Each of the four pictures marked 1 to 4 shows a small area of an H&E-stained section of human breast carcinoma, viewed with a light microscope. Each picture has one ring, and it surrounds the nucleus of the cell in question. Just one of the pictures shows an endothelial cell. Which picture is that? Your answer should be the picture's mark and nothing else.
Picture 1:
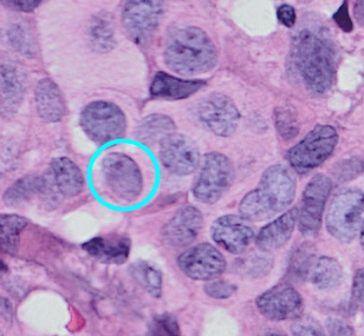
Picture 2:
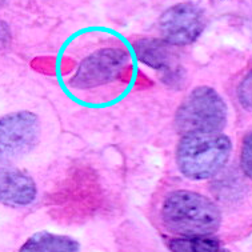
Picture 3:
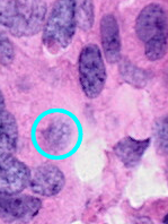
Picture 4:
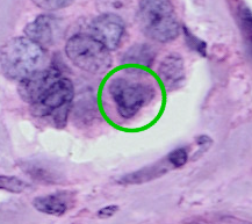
2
